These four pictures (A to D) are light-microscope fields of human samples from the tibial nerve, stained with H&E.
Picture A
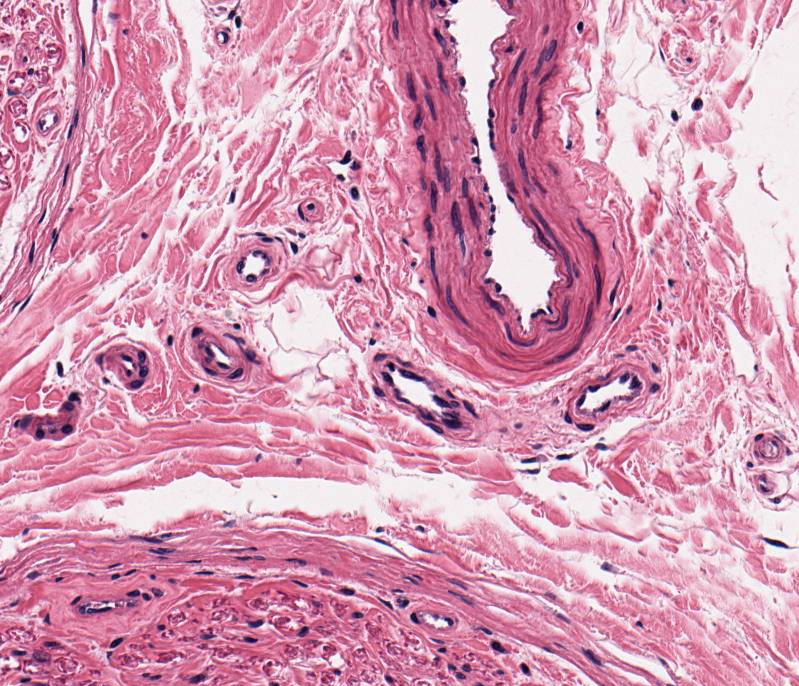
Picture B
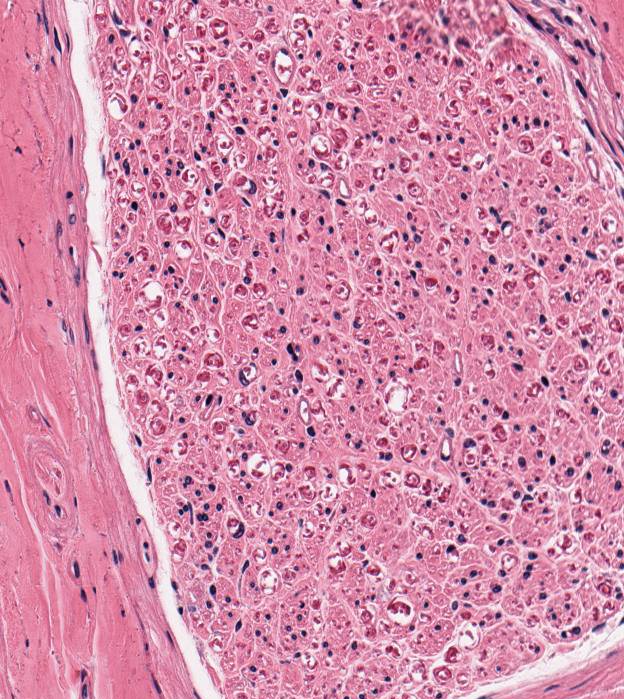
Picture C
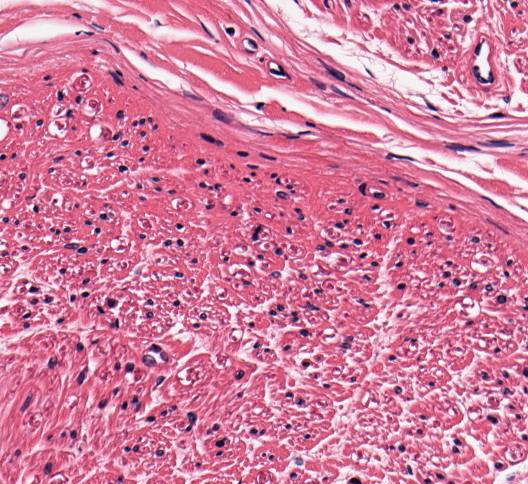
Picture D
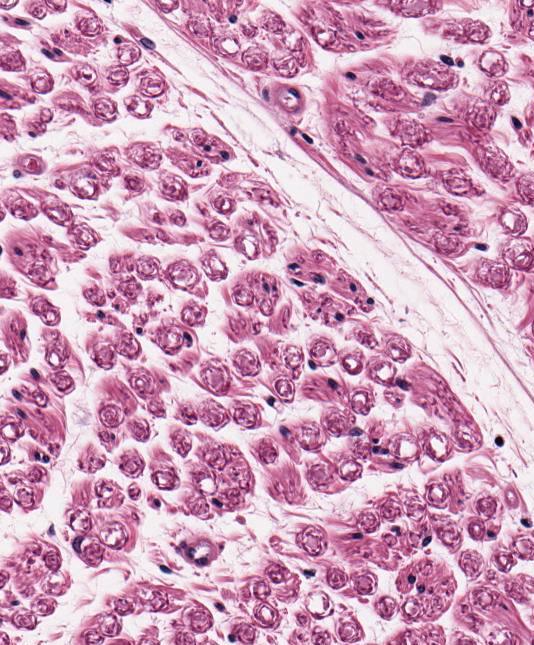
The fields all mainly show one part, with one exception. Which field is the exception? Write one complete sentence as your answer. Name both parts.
The others mainly show nerve fascicles, but picture A mainly shows the epineurium.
